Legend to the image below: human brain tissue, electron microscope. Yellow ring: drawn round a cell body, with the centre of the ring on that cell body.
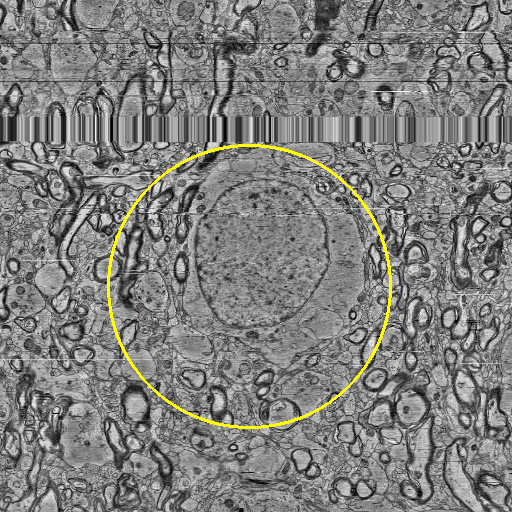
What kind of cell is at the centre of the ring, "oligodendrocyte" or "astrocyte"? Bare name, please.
astrocyte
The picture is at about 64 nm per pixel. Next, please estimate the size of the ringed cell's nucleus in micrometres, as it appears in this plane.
The nucleus works out at approximately 10 by 9 micrometres in this plane.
